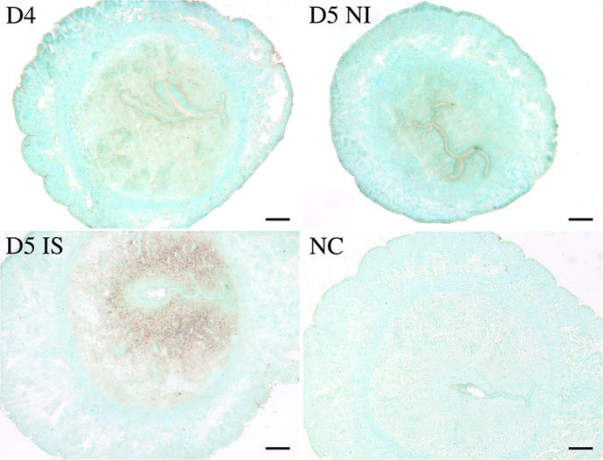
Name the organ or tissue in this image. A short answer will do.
Uteri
